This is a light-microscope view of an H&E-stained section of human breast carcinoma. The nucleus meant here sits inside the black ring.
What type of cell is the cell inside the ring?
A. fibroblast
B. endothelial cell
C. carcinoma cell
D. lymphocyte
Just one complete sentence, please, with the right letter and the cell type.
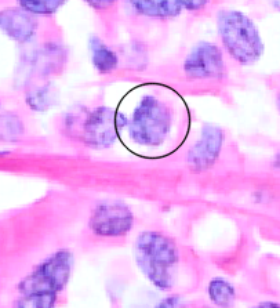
The statement that the cell inside the ring is a carcinoma cell corresponds to option C, the correct one.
